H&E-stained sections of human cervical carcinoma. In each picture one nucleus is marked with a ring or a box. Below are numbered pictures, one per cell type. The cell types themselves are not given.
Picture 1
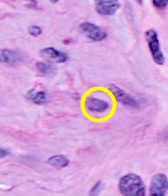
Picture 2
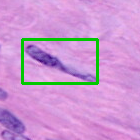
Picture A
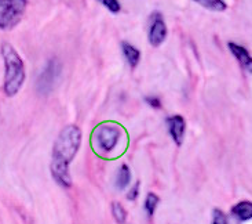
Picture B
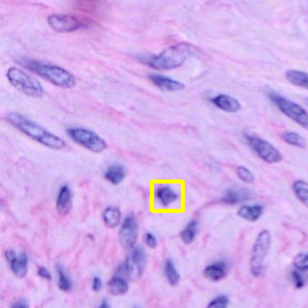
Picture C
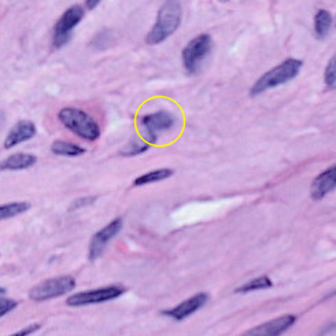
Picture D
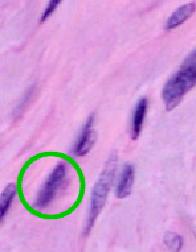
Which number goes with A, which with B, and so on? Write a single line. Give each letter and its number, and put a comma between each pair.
A 1, B 1, C 2, D 2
